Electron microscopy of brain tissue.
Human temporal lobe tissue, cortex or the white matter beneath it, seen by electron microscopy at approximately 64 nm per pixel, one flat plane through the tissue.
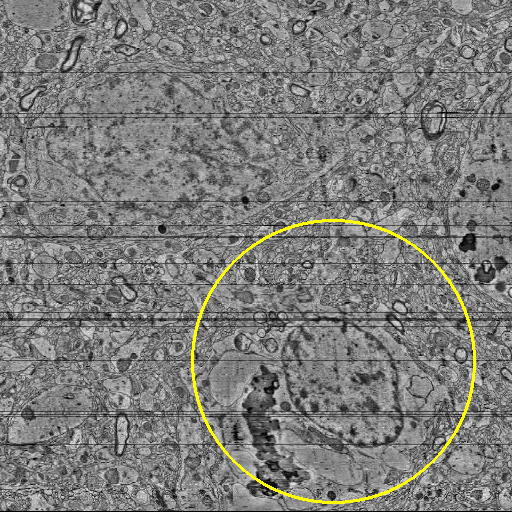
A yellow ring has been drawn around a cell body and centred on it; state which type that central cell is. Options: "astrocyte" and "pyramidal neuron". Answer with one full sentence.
The cell at the middle of the yellow ring is an astrocyte in this picture.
